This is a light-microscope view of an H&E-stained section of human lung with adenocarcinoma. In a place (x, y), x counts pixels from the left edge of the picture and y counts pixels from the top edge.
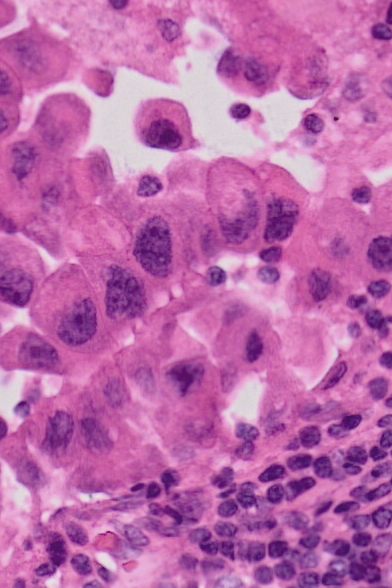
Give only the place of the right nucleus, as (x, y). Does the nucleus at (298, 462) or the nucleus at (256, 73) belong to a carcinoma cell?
(256, 73)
